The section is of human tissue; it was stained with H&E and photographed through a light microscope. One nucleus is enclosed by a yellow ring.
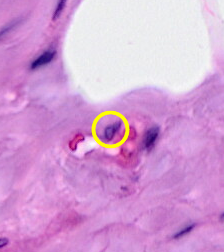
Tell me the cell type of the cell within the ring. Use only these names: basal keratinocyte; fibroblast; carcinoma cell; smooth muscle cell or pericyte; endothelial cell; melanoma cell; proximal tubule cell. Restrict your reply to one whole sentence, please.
As far as its identity is concerned, the cell within the ring is an endothelial cell.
